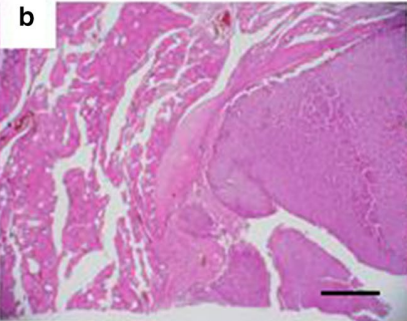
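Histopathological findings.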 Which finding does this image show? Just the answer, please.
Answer: Capsular invasion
